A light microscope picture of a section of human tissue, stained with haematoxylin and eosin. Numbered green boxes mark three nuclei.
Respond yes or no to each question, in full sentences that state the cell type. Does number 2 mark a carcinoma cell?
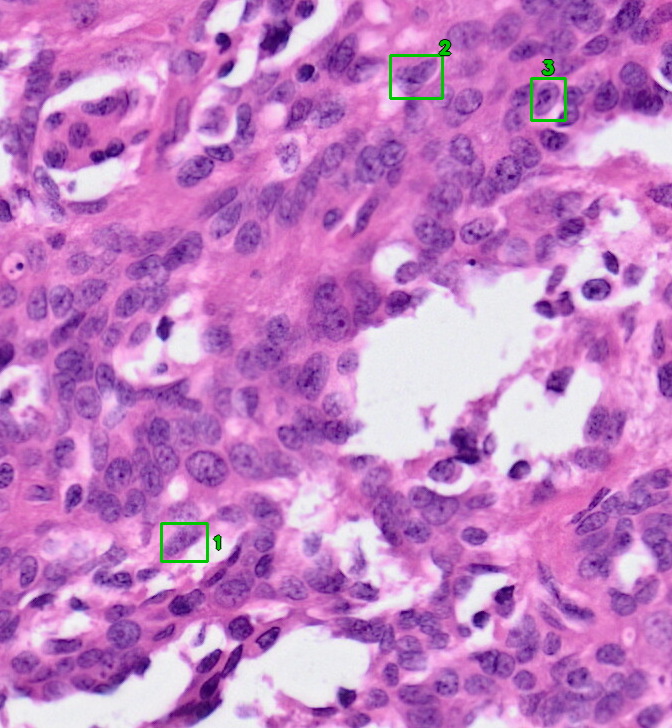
Yes, in the section, number 2 is a carcinoma cell.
